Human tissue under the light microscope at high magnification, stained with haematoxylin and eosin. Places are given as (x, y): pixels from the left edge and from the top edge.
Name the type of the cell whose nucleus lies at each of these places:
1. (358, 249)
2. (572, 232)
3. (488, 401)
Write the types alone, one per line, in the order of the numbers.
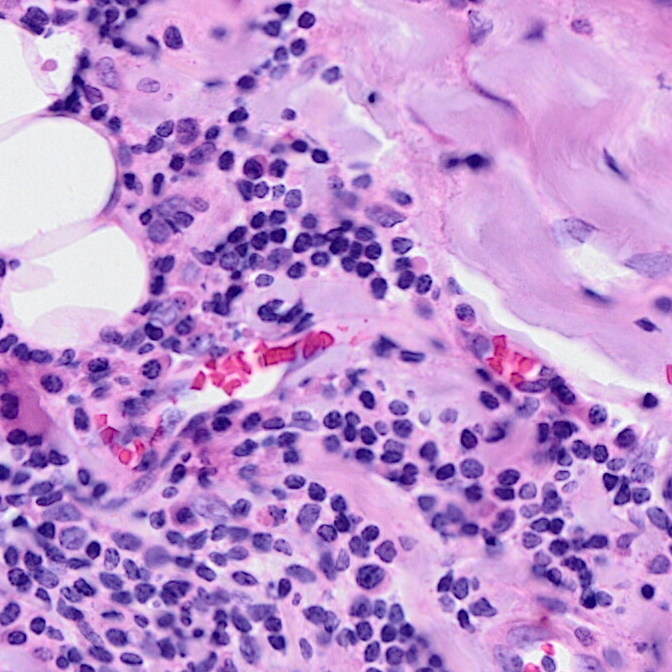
lymphocyte
fibroblast
lymphocyte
